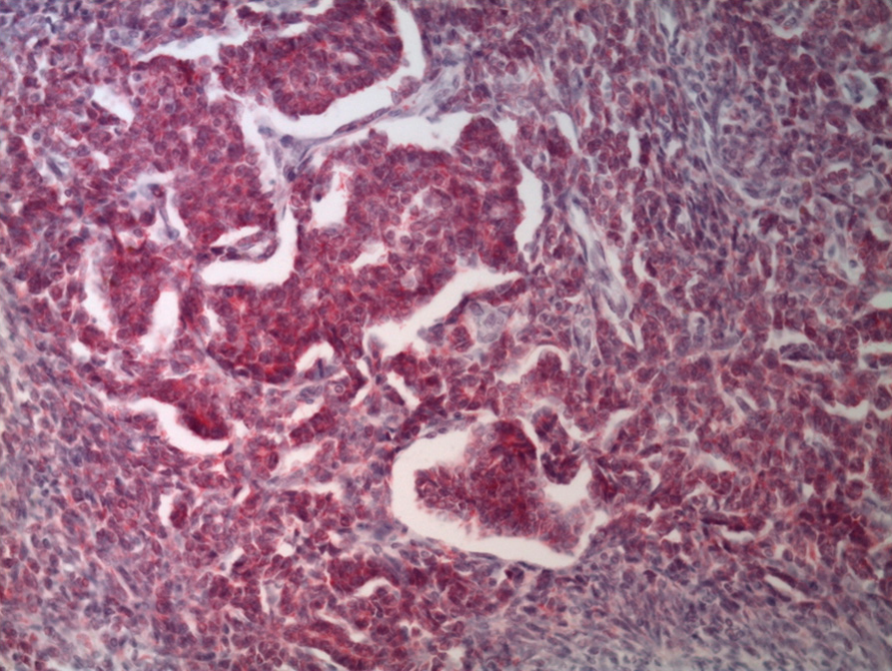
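A densely cellular tumor is arranged in solid nests and branching cords of closely packed cells, separated by irregular slit-like and rounded clear spaces. Between the groups lie thin bands of paler stroma with elongated spindle-shaped nuclei, more prominent toward the lower right.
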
